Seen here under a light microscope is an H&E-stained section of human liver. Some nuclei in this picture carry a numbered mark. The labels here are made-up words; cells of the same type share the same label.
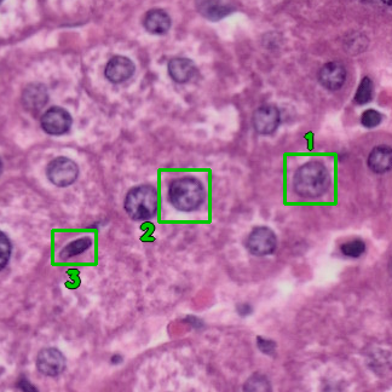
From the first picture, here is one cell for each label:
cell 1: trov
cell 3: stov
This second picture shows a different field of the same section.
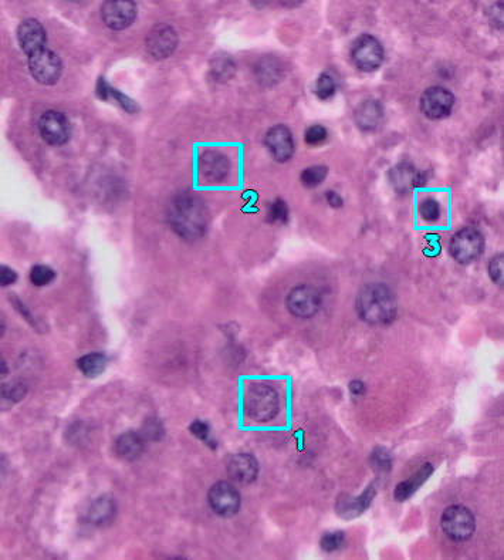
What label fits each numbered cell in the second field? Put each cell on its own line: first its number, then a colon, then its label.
1: trov
2: trov
3: stov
